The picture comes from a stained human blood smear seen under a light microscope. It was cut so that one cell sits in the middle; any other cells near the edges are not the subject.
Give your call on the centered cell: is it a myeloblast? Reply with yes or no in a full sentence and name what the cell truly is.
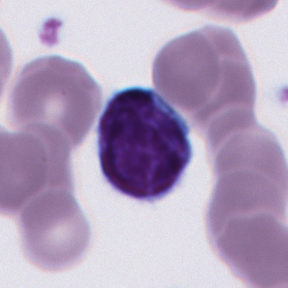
No, the middle cell is not a myeloblast, it being a typical lymphocyte.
